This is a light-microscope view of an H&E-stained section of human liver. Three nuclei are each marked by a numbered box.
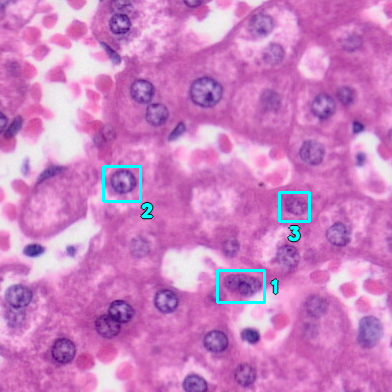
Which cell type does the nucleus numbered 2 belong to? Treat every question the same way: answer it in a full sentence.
The cell whose nucleus carries the number 2 is a hepatocyte.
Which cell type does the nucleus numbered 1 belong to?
The cell whose nucleus carries the number 1 is a Kupffer cell.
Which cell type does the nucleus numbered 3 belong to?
Within this field of view, the cell labelled 3 is a hepatocyte.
